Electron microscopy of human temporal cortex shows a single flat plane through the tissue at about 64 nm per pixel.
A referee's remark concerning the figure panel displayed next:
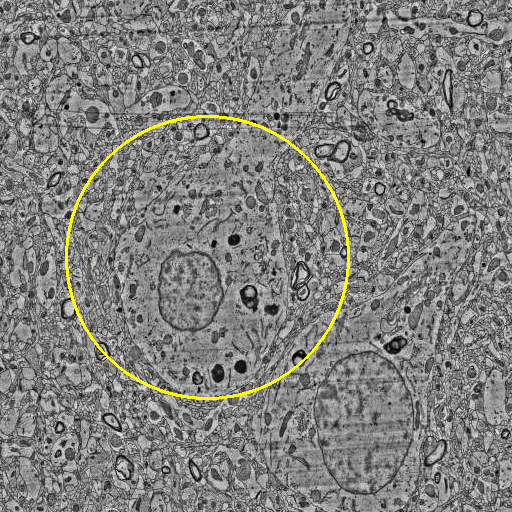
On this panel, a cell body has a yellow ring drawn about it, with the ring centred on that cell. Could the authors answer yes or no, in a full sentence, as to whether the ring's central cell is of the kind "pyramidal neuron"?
Yes, the cell sitting at the middle of the ring on this panel belongs to that kind.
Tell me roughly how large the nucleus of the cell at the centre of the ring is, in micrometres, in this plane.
In this plane the nucleus is about 5 micrometres by 4.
